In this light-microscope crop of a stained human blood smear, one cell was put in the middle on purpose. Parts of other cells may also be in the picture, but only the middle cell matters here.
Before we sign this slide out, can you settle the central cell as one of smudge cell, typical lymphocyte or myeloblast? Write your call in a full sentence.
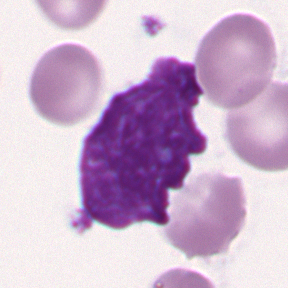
Regarding the central cell, it is a smudge cell.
